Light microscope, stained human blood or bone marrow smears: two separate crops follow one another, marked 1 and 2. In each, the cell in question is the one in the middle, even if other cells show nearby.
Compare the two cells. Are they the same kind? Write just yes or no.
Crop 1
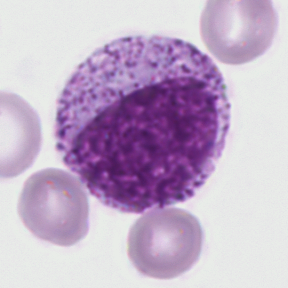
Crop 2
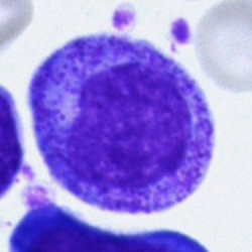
yes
